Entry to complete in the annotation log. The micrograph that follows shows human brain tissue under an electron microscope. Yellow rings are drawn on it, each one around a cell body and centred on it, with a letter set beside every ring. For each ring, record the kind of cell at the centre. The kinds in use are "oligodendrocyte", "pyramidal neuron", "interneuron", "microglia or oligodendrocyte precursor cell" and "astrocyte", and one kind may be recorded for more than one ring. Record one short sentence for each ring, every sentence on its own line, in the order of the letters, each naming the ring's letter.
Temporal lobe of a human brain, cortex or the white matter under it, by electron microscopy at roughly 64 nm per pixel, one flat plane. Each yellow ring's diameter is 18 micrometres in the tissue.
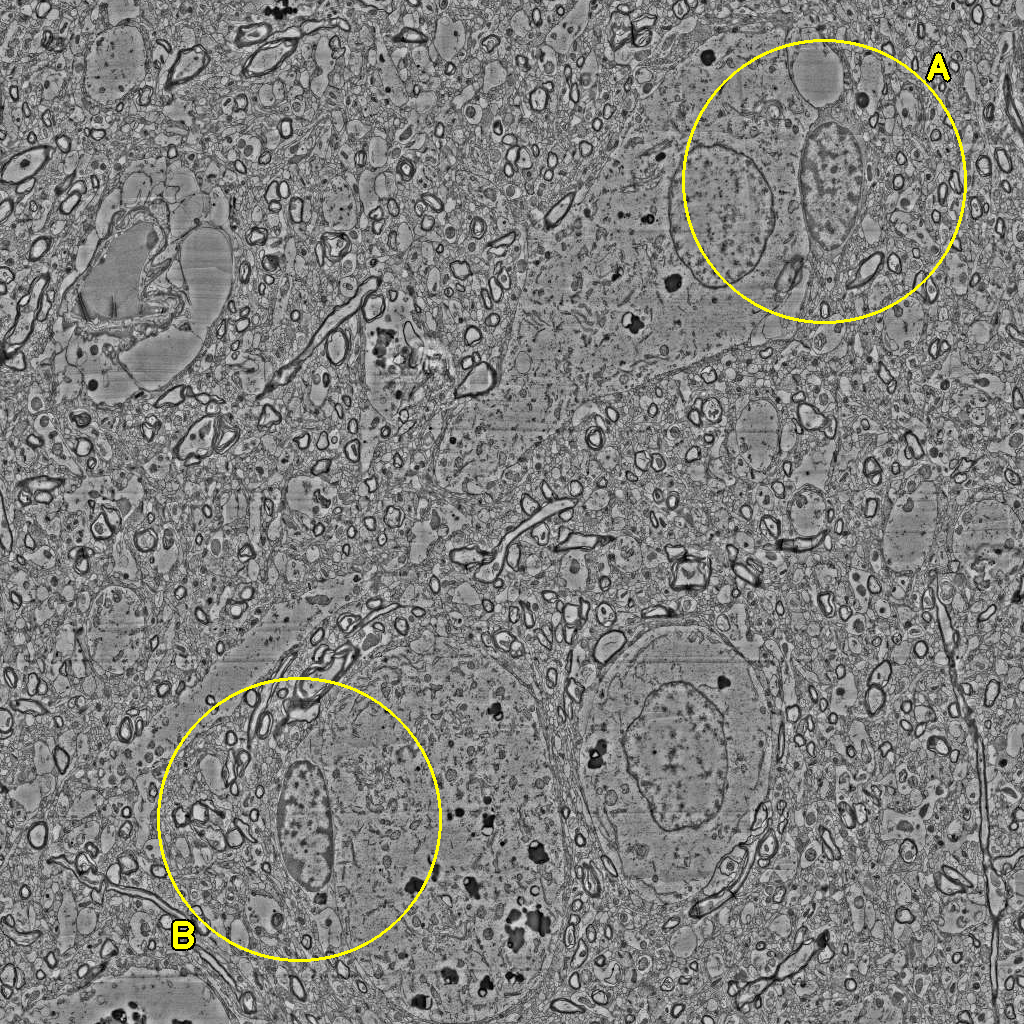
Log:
Ring A is placed around an oligodendrocyte.
Ring B is placed around a microglial cell or oligodendrocyte precursor cell.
